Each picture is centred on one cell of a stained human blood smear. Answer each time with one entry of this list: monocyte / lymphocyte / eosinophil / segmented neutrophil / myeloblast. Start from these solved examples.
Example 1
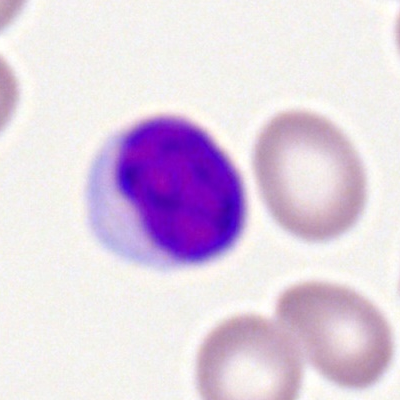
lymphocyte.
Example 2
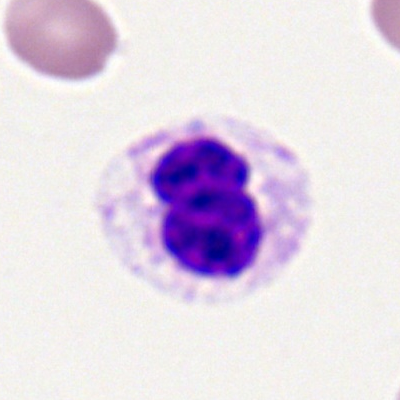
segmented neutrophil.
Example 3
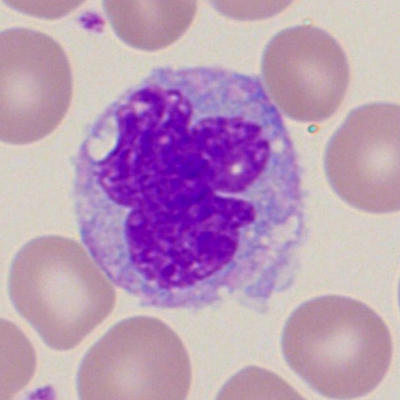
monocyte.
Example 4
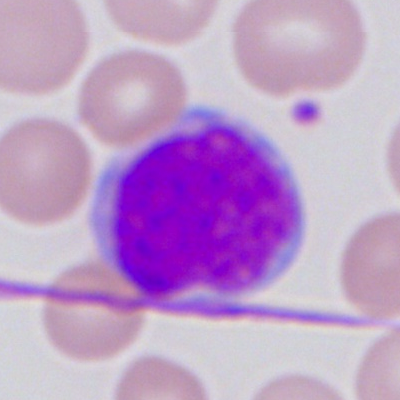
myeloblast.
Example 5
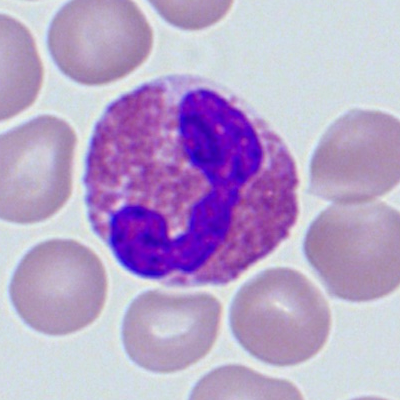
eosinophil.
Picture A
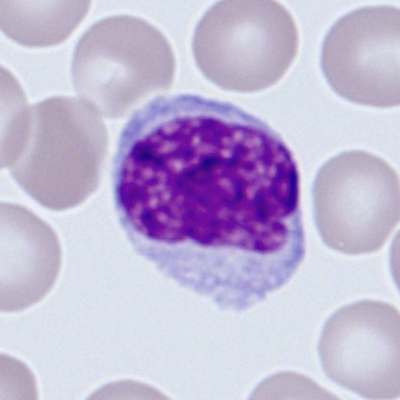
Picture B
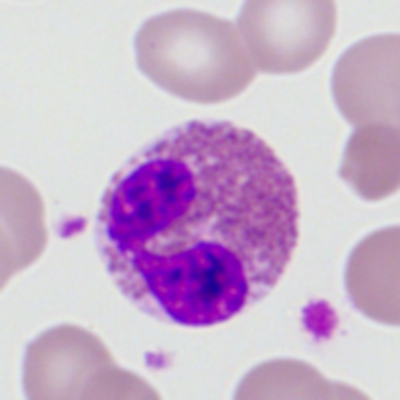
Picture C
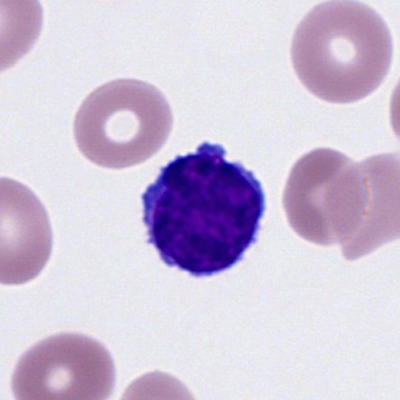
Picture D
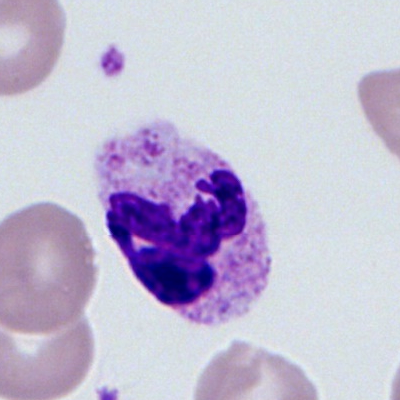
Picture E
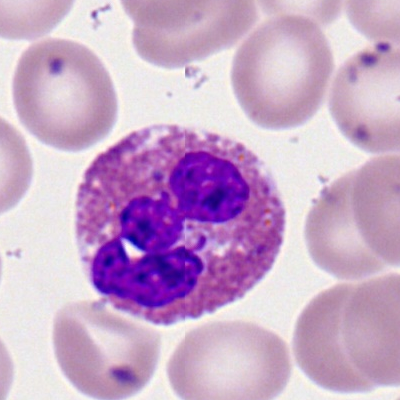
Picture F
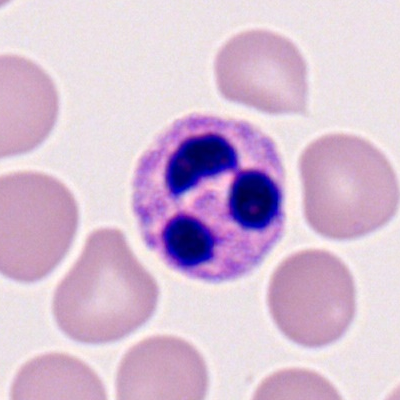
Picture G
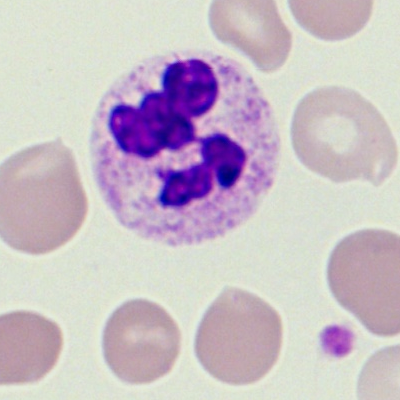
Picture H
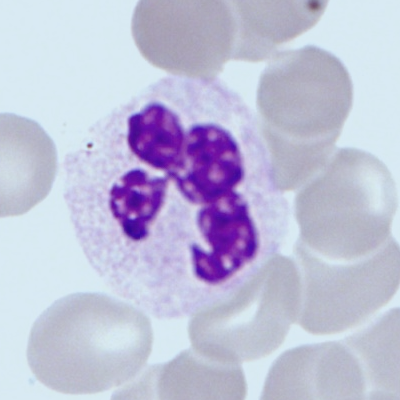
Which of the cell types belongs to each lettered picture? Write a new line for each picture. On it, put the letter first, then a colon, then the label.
A: monocyte.
B: eosinophil.
C: lymphocyte.
D: segmented neutrophil.
E: eosinophil.
F: segmented neutrophil.
G: segmented neutrophil.
H: segmented neutrophil.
